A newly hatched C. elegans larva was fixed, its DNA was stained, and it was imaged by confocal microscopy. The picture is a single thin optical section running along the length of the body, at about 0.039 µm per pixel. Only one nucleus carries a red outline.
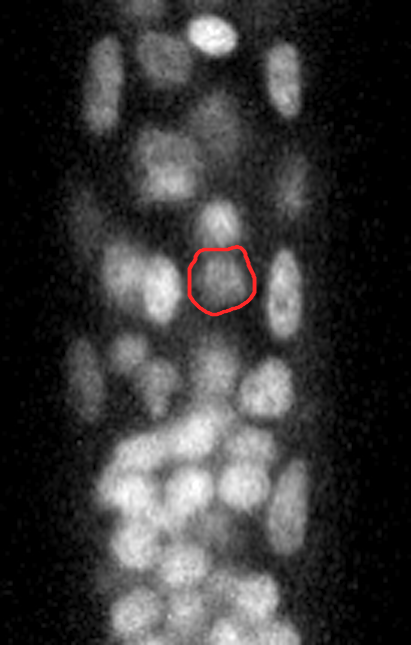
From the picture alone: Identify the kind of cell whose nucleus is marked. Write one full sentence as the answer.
It belongs to a pharyngeal muscle cell.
